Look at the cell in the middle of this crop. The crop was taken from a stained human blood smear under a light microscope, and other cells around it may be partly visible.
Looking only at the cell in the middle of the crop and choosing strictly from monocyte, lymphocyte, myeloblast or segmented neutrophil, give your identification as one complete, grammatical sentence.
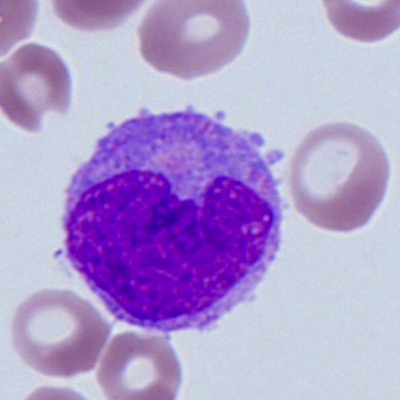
The cell of interest, in the center, is a monocyte.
